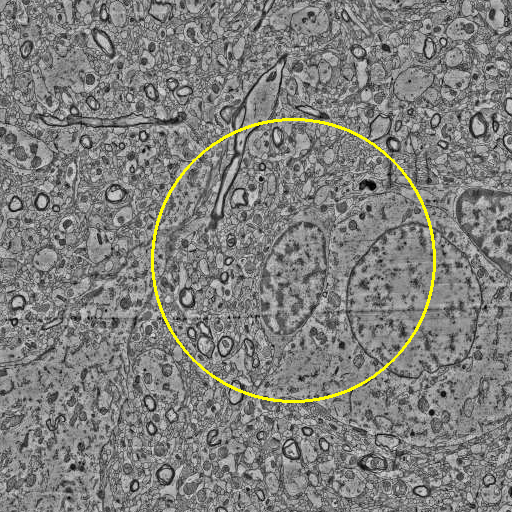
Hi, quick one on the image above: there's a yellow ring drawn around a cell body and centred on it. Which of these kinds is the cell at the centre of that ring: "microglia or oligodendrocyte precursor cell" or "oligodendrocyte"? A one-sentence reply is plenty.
The cell at the centre of the ring is an oligodendrocyte.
